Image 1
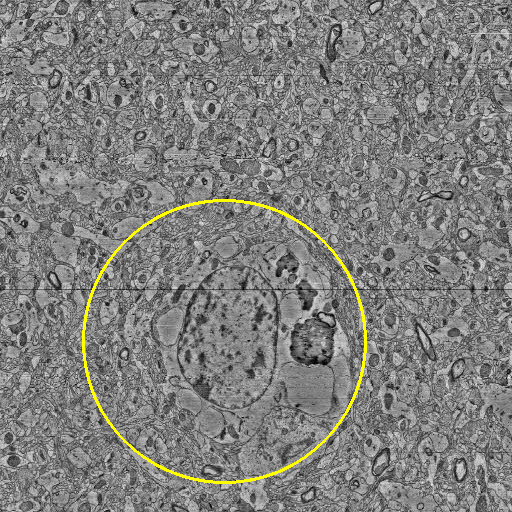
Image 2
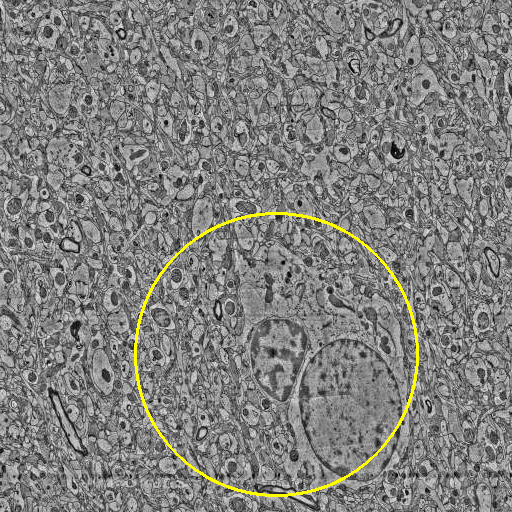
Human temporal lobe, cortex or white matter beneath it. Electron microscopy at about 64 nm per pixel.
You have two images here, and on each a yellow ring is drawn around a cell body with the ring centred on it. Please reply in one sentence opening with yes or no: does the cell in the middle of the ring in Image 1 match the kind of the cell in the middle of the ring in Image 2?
No, the two images show cells of two kinds at the centres of their rings.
